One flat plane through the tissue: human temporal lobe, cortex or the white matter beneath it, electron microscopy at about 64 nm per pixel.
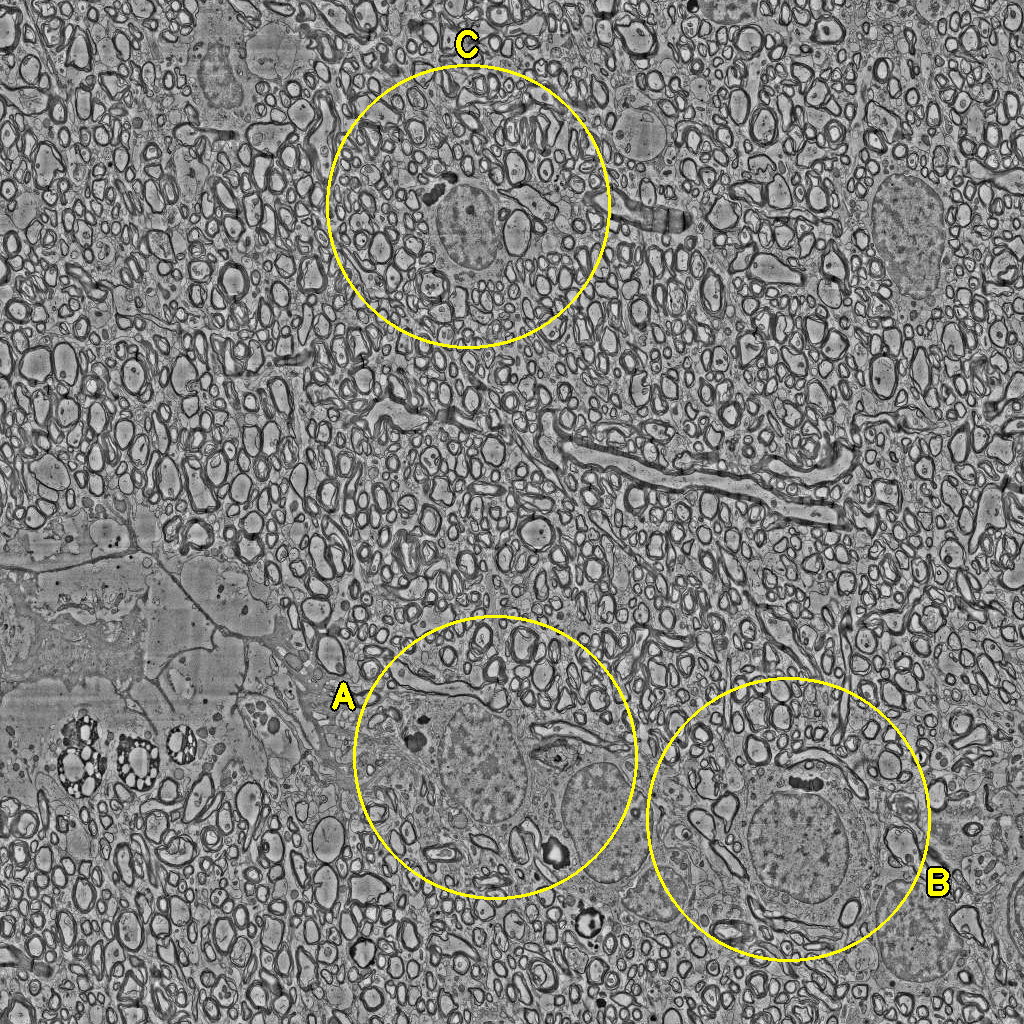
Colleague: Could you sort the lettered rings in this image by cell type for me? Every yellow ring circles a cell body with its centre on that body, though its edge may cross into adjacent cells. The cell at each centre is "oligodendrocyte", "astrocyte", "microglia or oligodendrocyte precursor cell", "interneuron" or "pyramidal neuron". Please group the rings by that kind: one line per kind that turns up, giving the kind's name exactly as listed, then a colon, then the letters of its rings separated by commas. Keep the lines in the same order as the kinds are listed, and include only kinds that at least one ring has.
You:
oligodendrocyte: A, B, C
